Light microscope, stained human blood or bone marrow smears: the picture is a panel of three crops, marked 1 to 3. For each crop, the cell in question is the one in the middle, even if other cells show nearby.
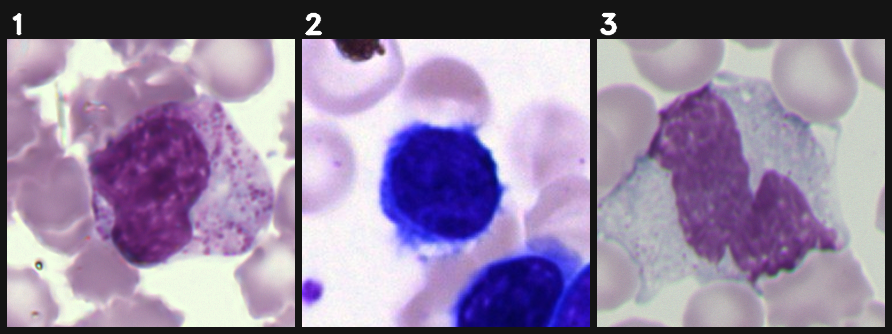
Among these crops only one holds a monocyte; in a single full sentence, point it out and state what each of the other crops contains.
Crop 3 counts as a monocyte, while crop 1 is a metamyelocyte and crop 2 is a lymphocyte.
